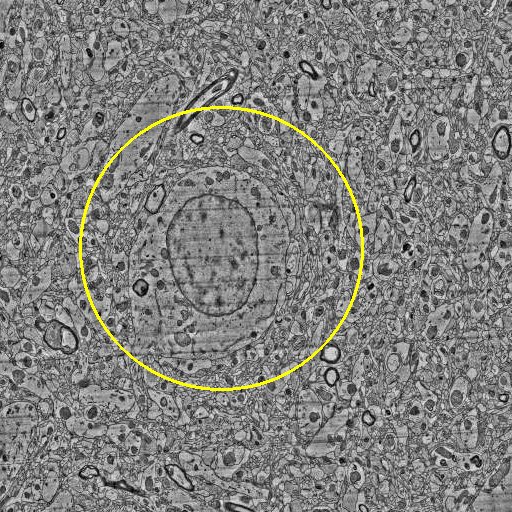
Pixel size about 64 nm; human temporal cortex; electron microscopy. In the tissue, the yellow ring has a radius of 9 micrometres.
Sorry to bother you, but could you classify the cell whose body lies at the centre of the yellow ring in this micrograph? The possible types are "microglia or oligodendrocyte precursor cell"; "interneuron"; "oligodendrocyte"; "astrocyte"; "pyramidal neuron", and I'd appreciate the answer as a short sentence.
The ringed cell body is that of a pyramidal neuron.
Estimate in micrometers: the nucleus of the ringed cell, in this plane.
In this plane the nucleus measures roughly 8 by 6 micrometres.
